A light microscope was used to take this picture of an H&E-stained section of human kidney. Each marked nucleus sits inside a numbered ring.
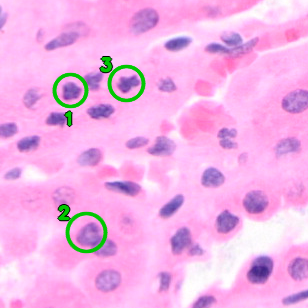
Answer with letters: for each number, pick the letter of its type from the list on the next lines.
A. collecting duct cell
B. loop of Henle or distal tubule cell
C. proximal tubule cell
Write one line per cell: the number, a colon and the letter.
1: B
2: C
3: B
